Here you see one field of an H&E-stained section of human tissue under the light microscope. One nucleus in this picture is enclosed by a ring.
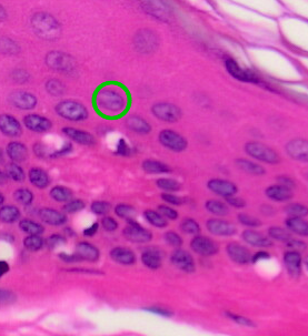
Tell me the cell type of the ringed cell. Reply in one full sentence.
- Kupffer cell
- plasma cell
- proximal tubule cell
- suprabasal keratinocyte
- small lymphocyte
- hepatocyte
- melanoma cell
Students should answer that the ringed cell is a suprabasal keratinocyte.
